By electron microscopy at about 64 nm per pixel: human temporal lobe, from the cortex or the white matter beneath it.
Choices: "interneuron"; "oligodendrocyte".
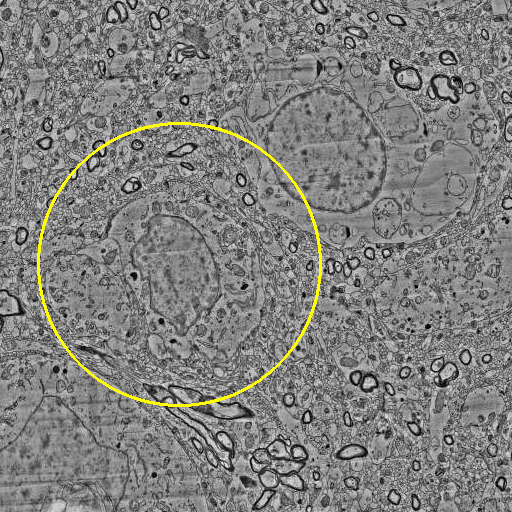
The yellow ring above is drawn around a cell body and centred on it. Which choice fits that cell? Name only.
interneuron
